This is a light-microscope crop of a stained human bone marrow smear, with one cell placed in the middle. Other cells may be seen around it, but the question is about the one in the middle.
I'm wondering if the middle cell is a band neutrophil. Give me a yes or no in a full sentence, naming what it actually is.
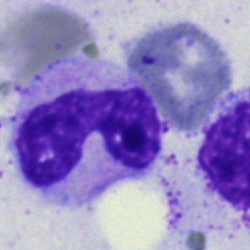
Yes, the cell at the centre of this crop is identified as a band neutrophil.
